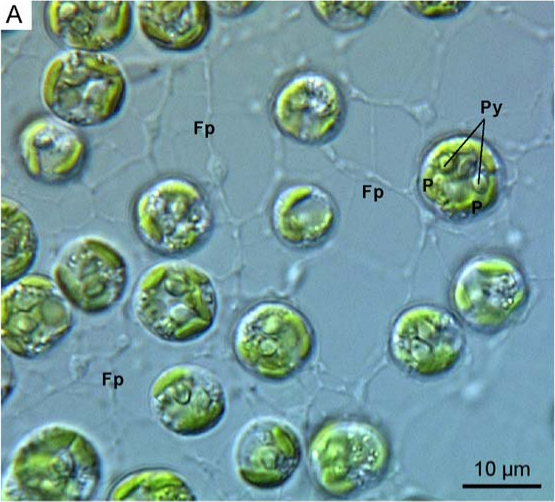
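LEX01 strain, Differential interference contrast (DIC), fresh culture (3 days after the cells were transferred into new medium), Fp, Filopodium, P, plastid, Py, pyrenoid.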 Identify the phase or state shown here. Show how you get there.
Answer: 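Walled amoeboid cells. Round cells each lie inside a clear wall. A network of fine branching threads runs between the cells.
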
